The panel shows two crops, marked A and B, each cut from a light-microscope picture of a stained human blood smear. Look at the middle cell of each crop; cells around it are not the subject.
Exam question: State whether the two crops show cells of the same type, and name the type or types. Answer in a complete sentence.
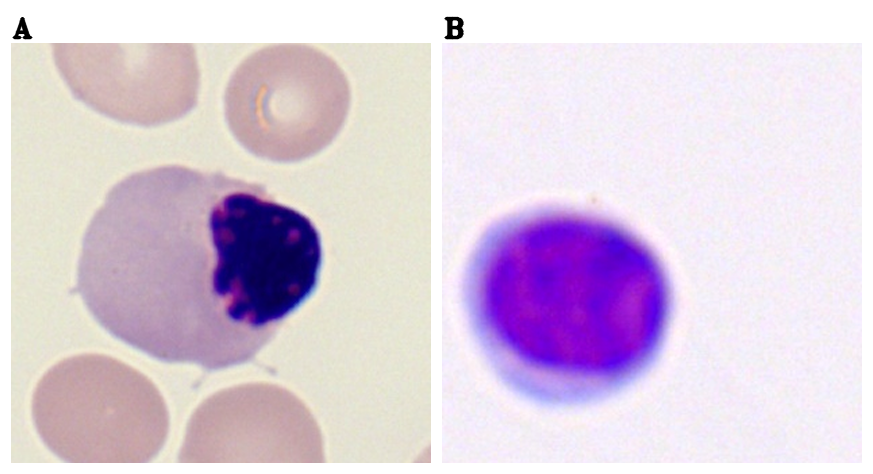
No, it is in crop A that an erythroblast is shown, and in crop B that a lymphocyte is shown.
